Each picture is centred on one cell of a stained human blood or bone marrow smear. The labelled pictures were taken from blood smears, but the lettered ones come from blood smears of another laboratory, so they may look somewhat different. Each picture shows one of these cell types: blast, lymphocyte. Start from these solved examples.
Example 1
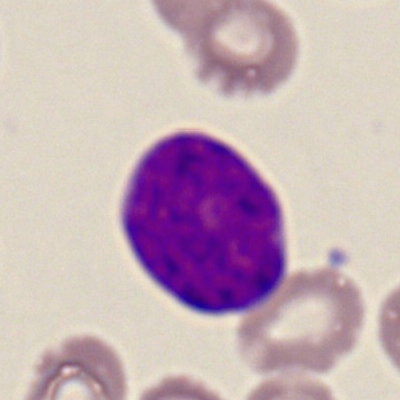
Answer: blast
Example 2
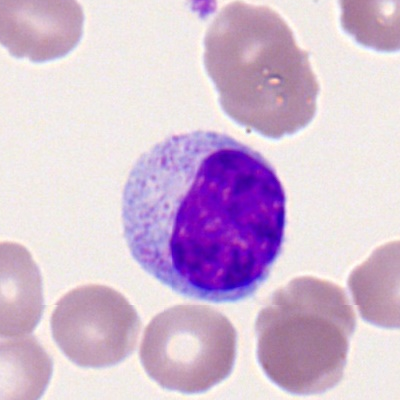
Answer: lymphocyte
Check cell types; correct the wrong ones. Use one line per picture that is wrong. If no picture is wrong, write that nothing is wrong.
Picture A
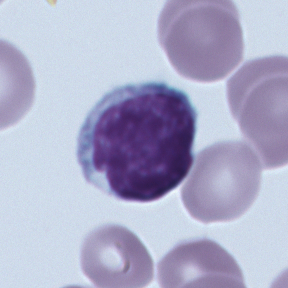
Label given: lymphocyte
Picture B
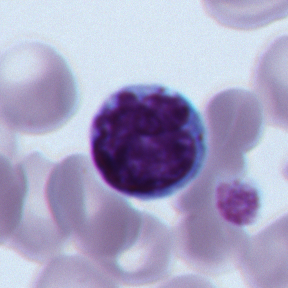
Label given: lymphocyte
All labels are correct.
